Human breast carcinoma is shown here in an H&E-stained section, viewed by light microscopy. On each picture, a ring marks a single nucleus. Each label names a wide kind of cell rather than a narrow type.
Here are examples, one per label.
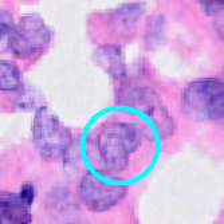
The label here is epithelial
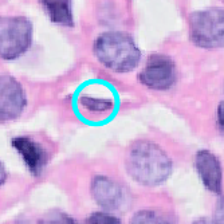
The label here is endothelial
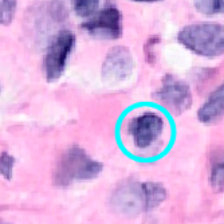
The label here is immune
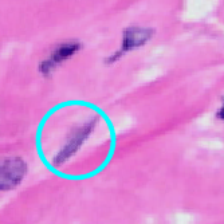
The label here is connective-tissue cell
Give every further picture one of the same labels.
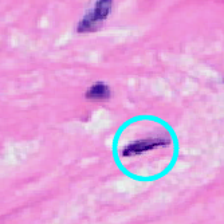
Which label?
connective-tissue cell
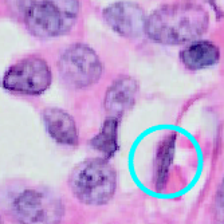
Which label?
endothelial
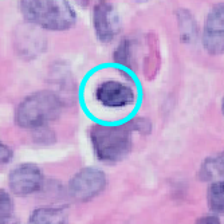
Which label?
immune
